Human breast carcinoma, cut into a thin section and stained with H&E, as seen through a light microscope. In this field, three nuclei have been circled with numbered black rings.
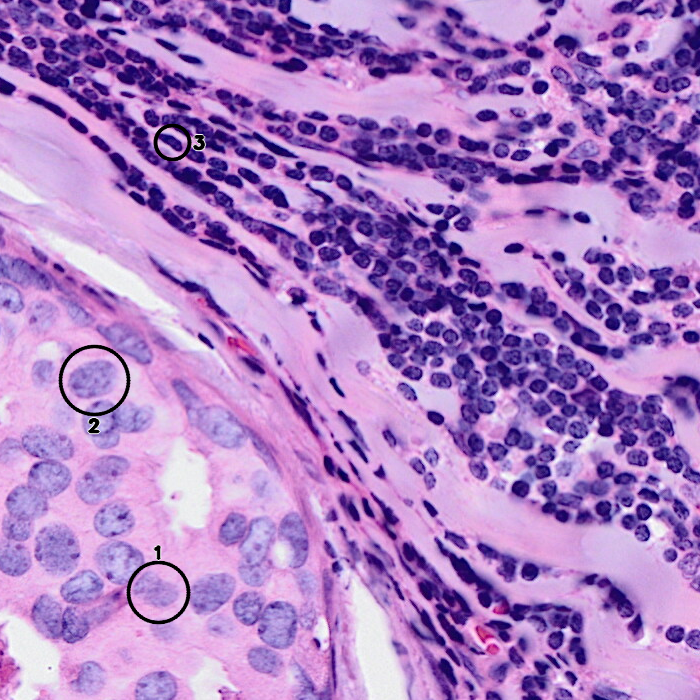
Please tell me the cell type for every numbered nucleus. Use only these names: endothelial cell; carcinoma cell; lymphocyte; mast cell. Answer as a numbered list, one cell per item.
1. carcinoma cell
2. carcinoma cell
3. lymphocyte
